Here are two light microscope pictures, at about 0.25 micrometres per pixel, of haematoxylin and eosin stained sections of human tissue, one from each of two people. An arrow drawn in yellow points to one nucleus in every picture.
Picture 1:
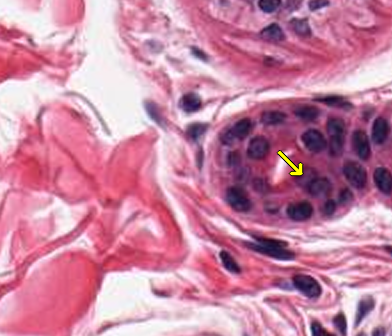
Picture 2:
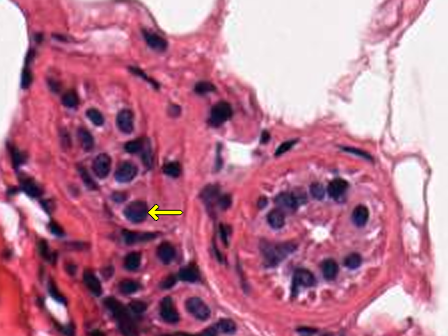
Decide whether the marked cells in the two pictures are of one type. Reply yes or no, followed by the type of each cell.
Yes, both are sweat gland cells.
